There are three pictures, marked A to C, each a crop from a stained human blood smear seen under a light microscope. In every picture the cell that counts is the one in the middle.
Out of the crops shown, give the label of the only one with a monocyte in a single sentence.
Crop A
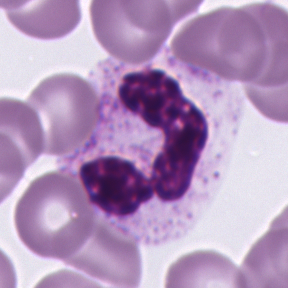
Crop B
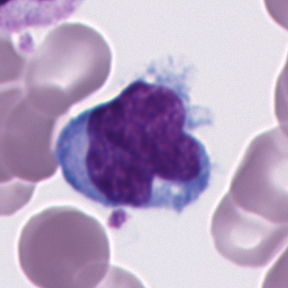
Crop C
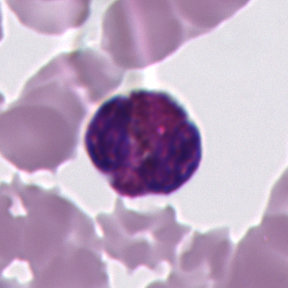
That would be crop B; it shows a monocyte.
